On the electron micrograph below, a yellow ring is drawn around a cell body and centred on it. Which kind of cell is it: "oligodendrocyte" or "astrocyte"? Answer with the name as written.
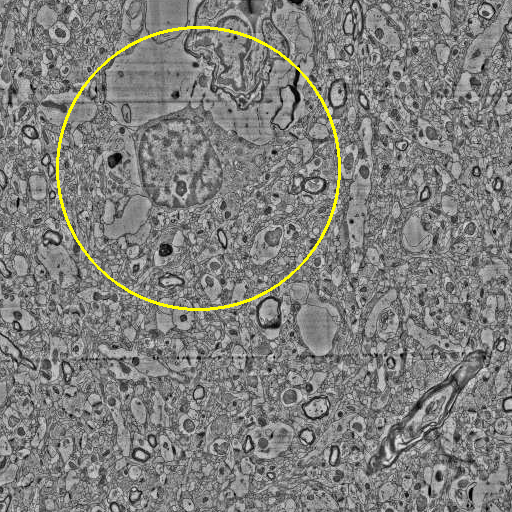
oligodendrocyte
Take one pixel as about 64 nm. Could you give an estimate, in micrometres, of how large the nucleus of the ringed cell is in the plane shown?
In this plane the nucleus is about 6 micrometres across.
